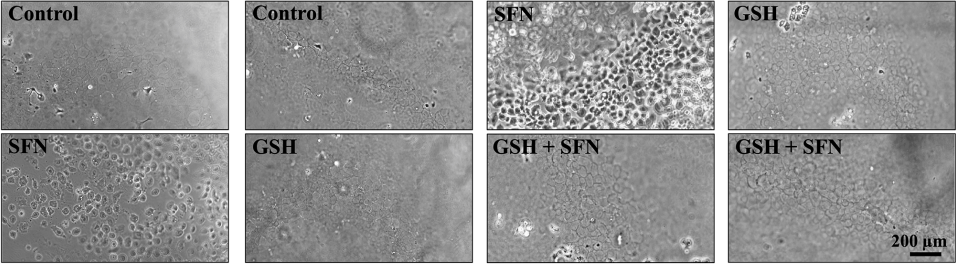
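In most frames the epithelial cells form a flat, continuous sheet of closely packed polygonal cells with faint borders. In two frames the cells are rounded, bright-rimmed and refractile, with clear outlines. In one of these two frames the rounded cells lie separated from one another with gaps between them.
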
